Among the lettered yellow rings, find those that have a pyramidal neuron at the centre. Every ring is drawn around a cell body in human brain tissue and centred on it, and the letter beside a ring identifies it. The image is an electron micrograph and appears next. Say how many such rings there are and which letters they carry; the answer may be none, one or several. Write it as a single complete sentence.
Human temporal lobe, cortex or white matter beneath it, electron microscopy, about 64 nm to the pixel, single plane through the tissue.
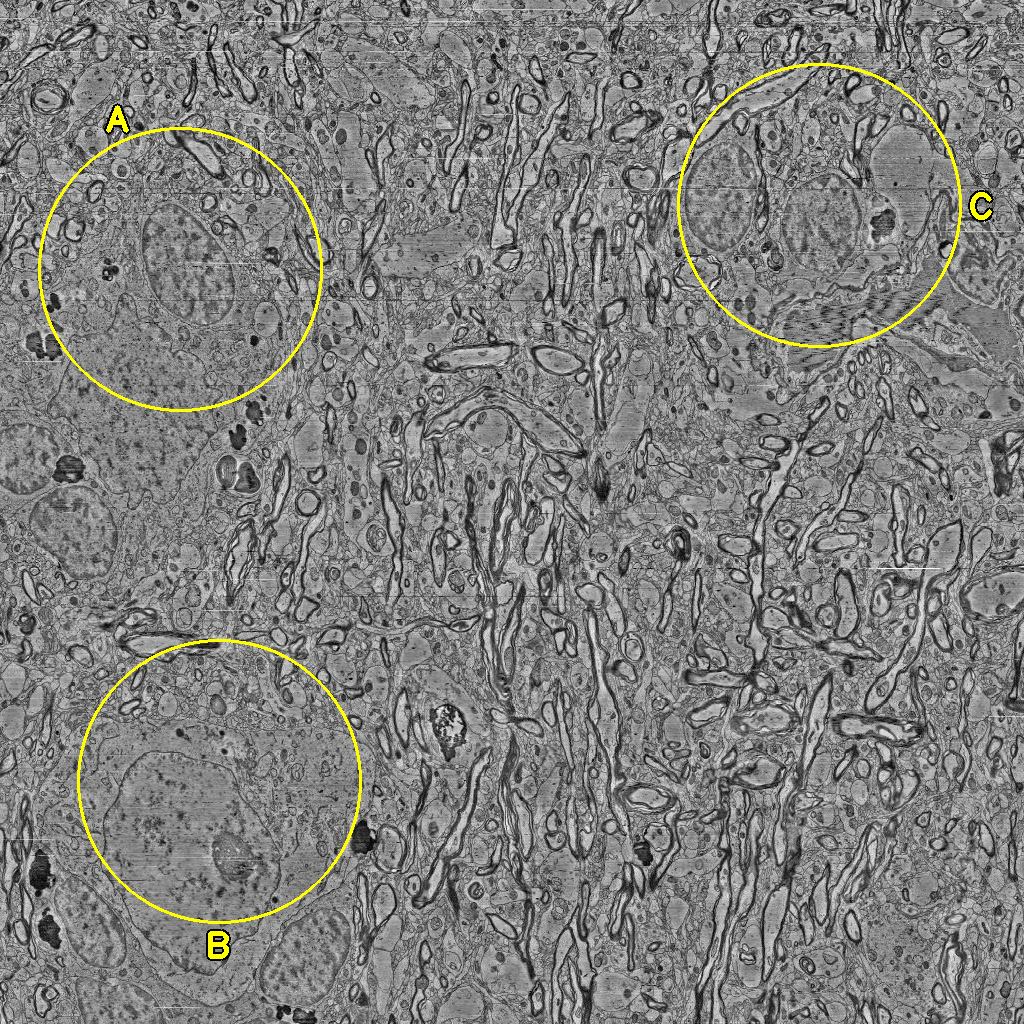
Of the rings in the micrograph, a single one is centred on a pyramidal neuron, and it shows B.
